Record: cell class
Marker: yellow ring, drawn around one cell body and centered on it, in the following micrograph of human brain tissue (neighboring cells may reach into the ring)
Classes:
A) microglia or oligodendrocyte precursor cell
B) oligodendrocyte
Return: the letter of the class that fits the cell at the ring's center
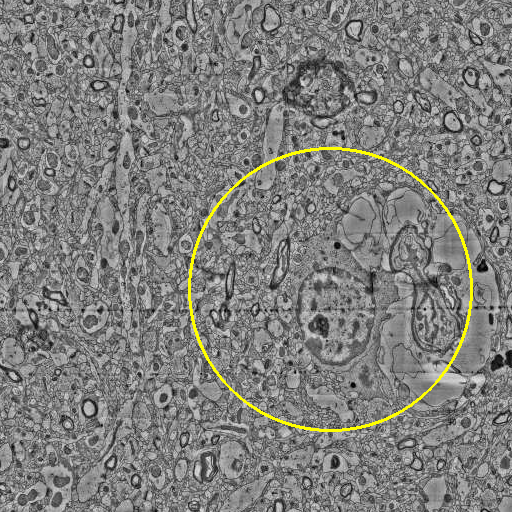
B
